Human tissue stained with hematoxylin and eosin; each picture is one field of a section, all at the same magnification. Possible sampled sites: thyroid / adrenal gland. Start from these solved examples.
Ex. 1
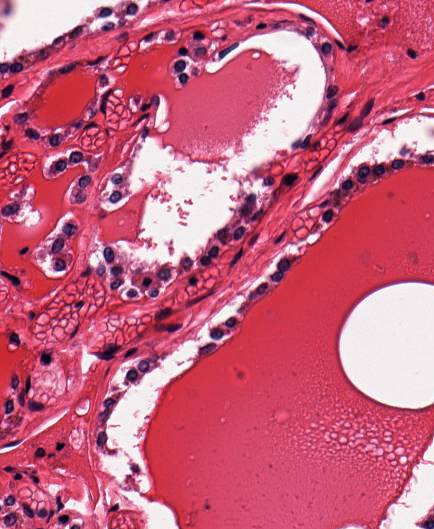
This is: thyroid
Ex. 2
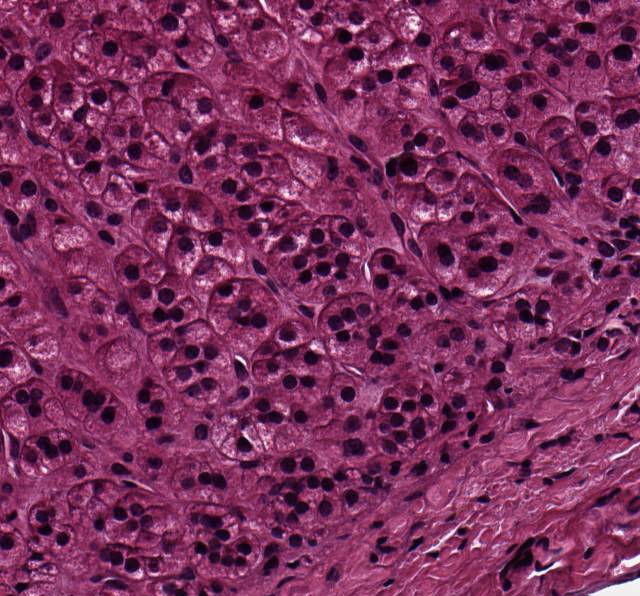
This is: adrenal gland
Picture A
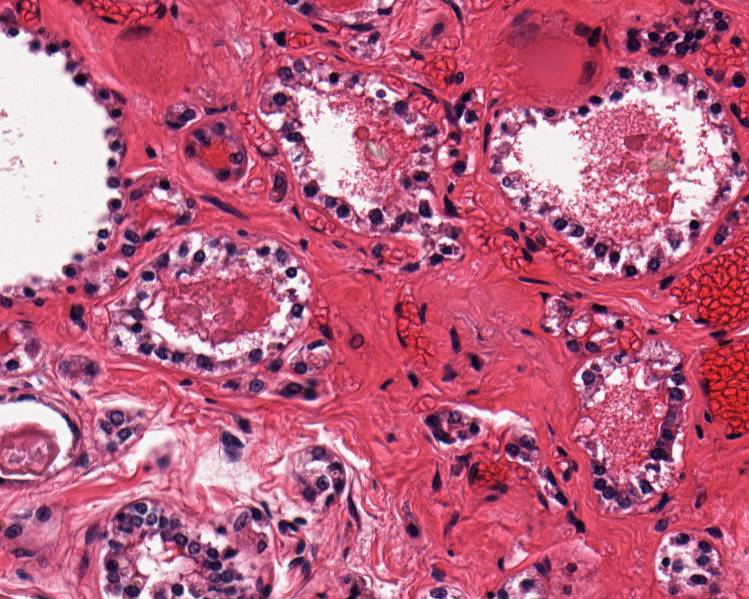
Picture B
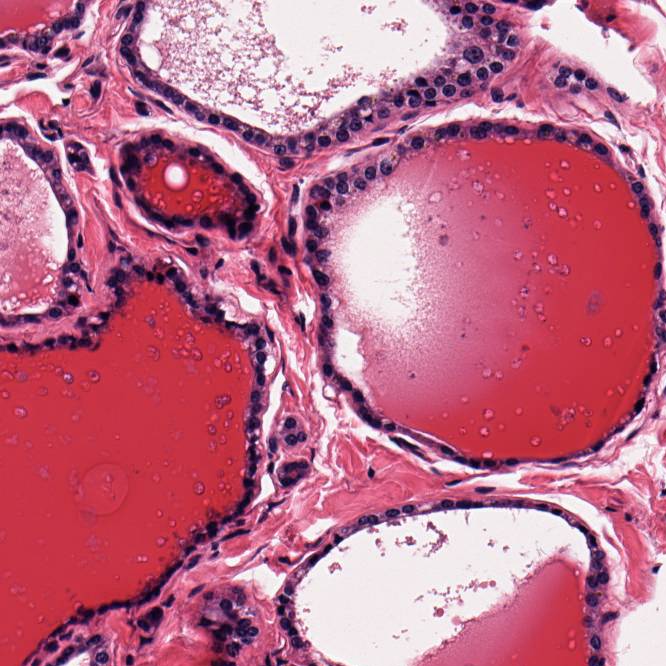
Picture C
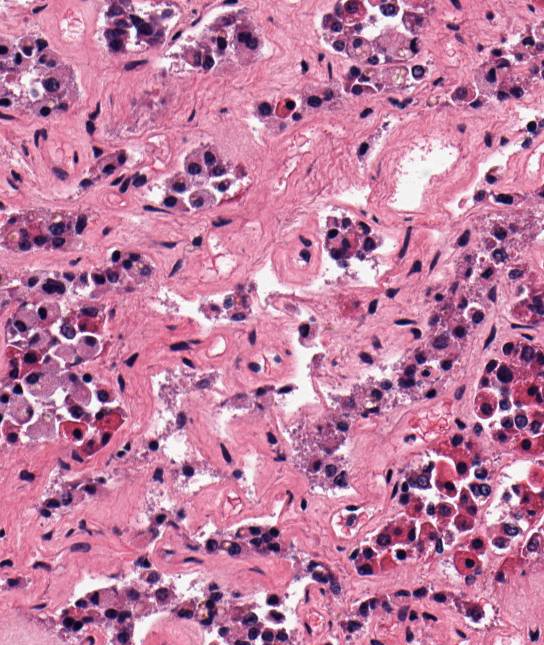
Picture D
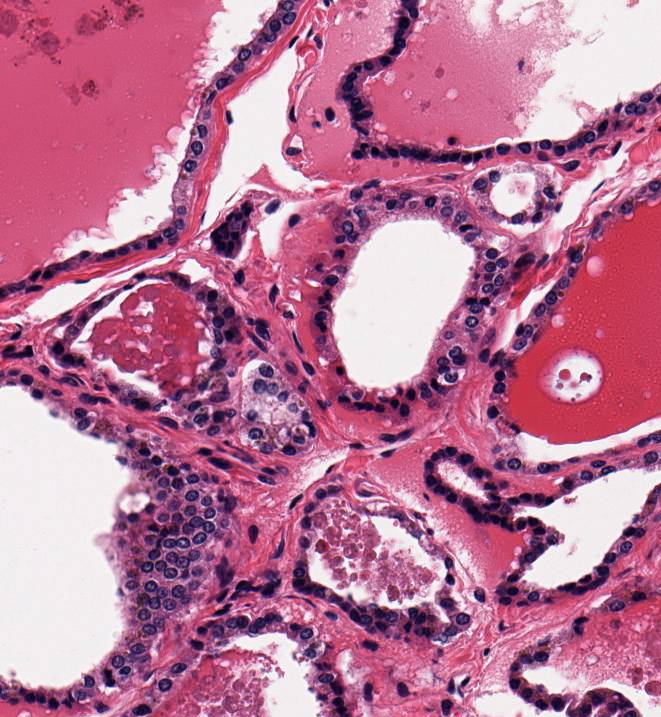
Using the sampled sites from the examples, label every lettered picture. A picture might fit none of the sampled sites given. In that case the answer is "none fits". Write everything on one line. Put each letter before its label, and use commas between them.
A thyroid, B thyroid, C none fits, D thyroid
